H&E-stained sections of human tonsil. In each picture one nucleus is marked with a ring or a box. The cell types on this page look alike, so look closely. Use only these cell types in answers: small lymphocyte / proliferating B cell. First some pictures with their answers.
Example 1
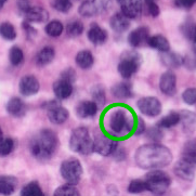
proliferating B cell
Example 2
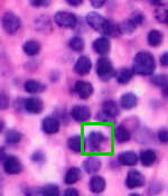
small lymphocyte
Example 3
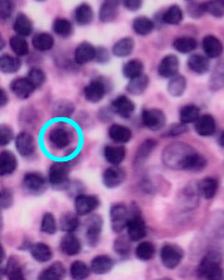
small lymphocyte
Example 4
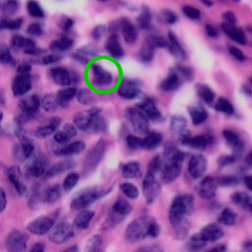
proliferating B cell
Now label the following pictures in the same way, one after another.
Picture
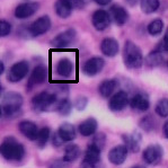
small lymphocyte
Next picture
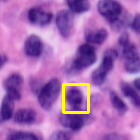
proliferating B cell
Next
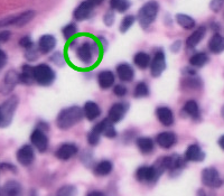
small lymphocyte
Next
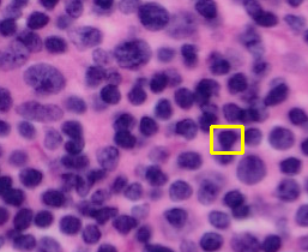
small lymphocyte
